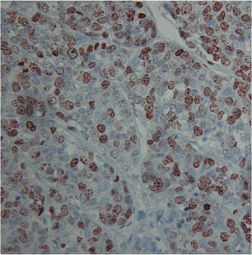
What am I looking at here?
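This is a section of solid tumor tissue made of closely packed, polygonal tumor cells arranged in sheets. Most cells have large oval nuclei, and many of these nuclei are stained brown, while others stay pale blue. The cytoplasm is pale and the cell borders are indistinct. Thin strands of connective tissue with slender, elongated nuclei run between groups of tumor cells.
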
